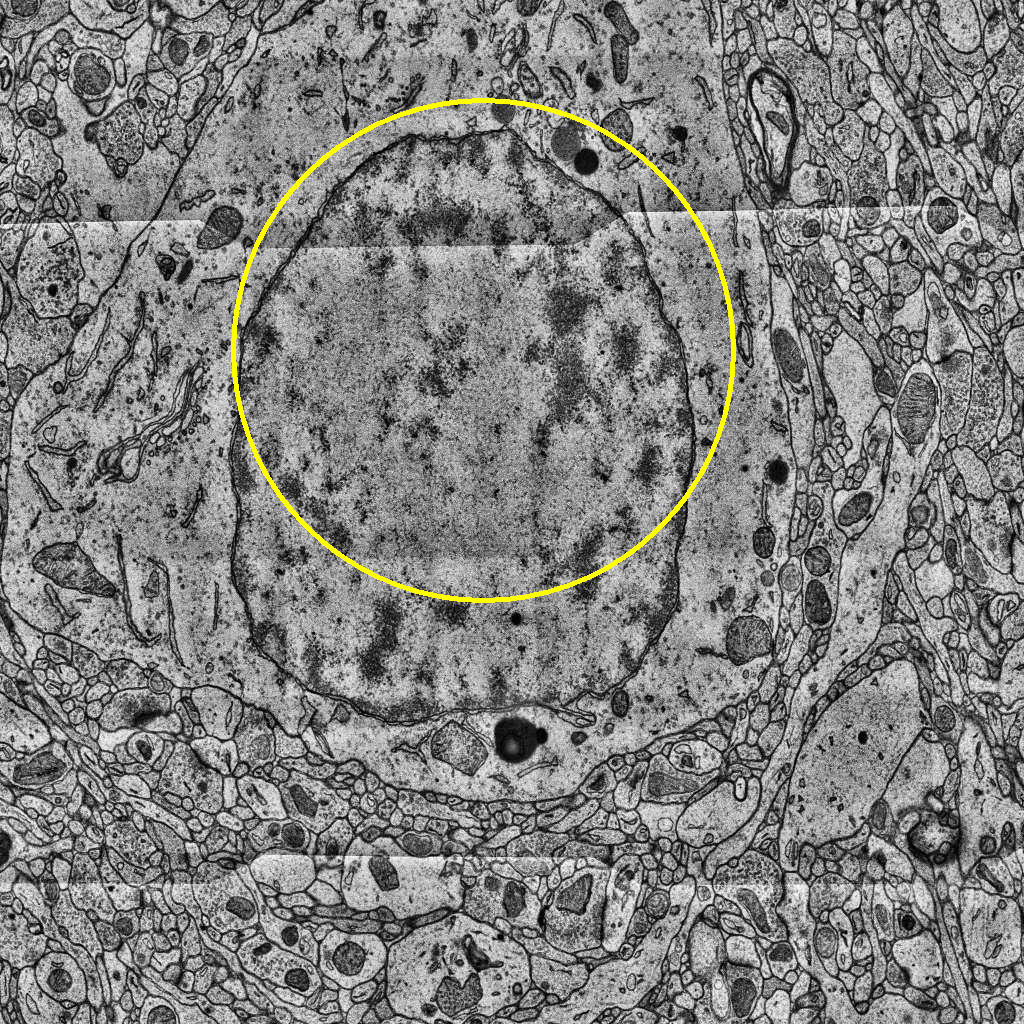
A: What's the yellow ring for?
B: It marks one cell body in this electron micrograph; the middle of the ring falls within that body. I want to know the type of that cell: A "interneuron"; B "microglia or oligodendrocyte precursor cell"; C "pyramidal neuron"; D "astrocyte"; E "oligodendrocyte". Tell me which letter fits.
C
